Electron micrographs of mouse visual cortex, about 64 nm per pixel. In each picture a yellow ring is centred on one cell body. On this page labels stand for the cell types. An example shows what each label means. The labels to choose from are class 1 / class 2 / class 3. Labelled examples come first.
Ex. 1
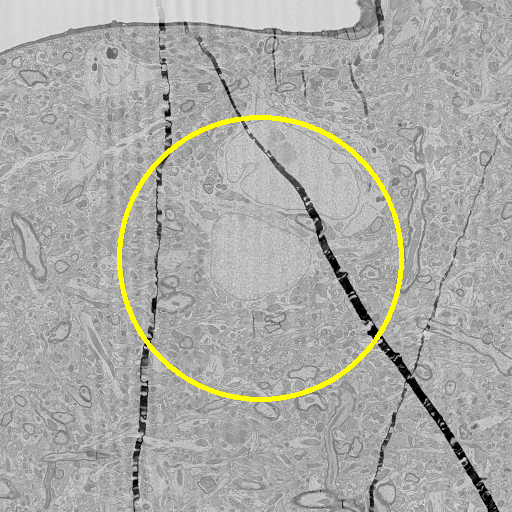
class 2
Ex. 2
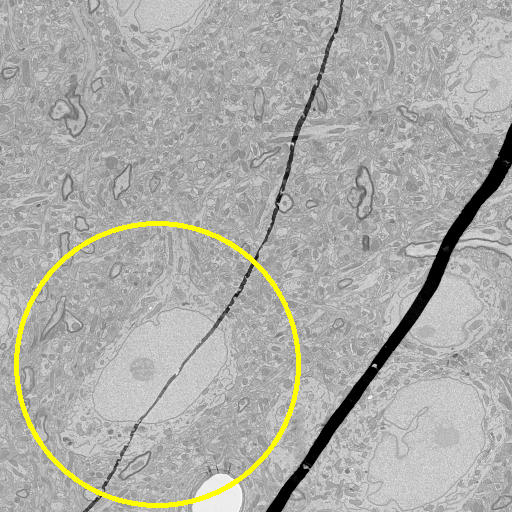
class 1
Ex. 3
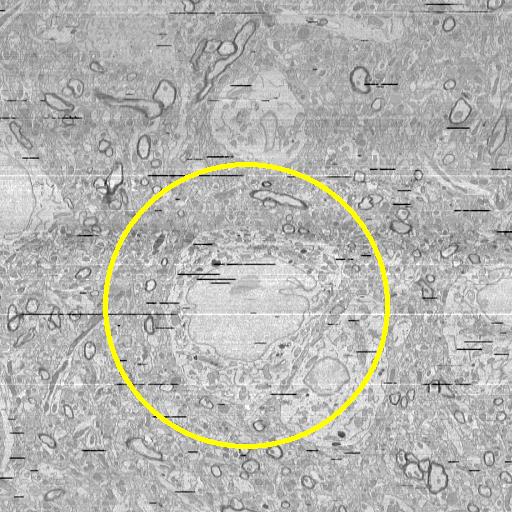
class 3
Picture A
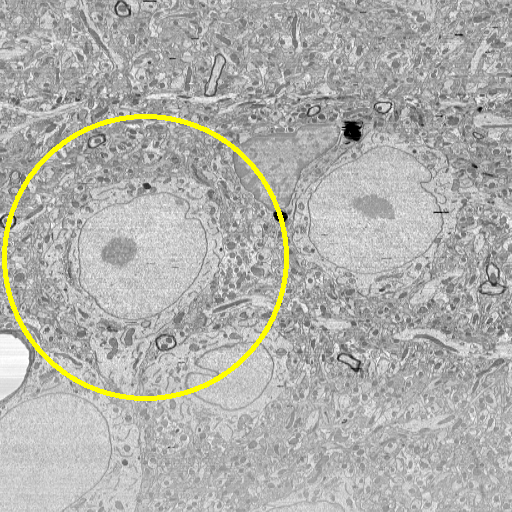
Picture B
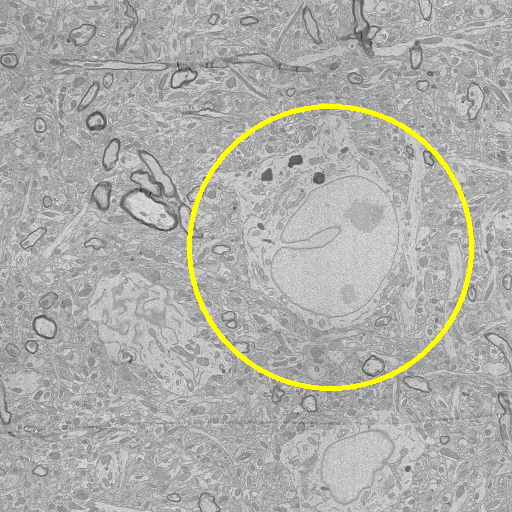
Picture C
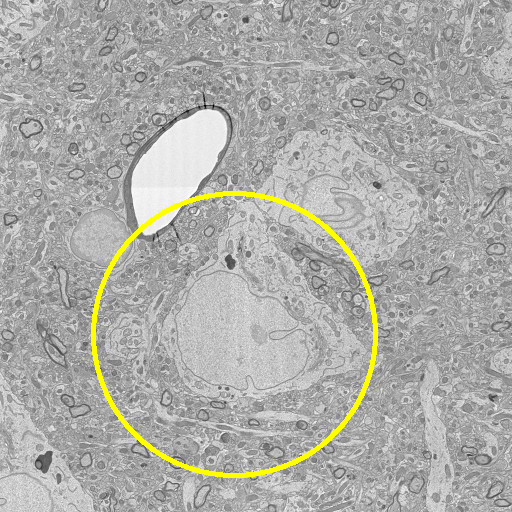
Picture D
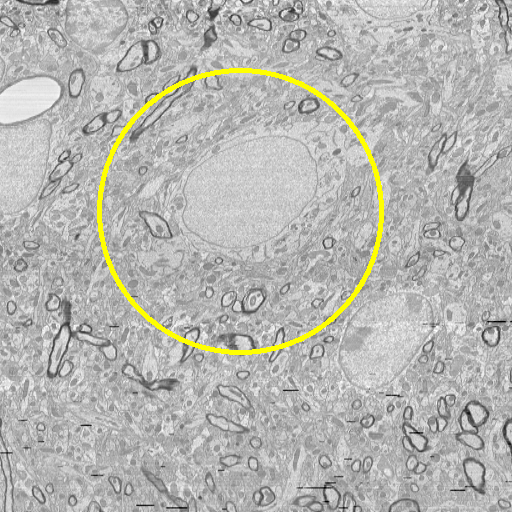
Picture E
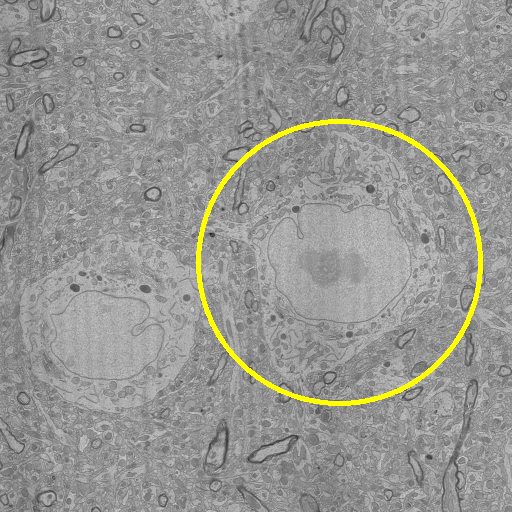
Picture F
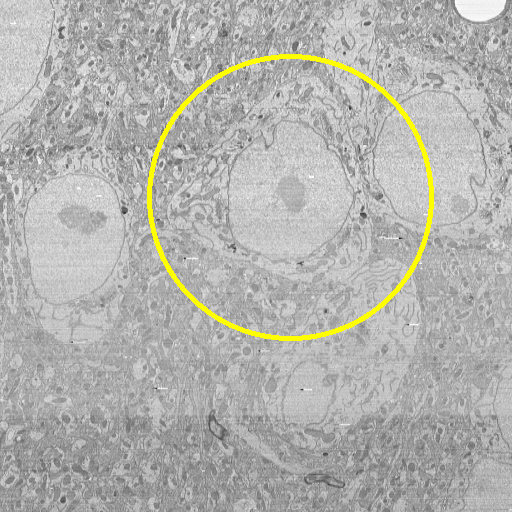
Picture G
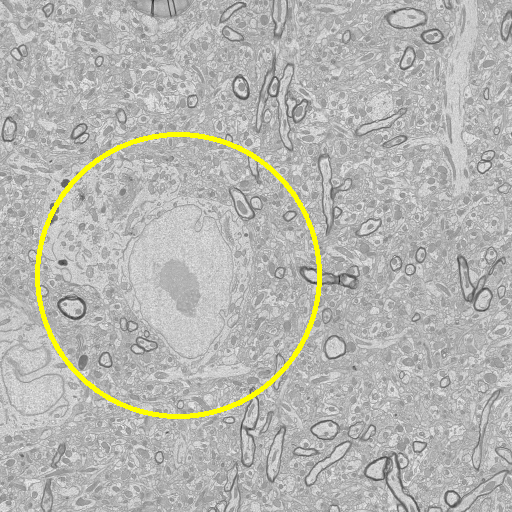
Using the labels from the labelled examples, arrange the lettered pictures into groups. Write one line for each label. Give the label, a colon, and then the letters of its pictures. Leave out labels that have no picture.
class 1: A, B, C, D
class 3: E, F, G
